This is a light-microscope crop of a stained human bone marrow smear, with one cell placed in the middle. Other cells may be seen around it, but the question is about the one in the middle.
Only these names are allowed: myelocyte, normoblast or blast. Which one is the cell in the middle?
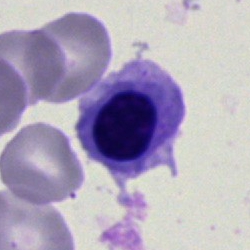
normoblast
